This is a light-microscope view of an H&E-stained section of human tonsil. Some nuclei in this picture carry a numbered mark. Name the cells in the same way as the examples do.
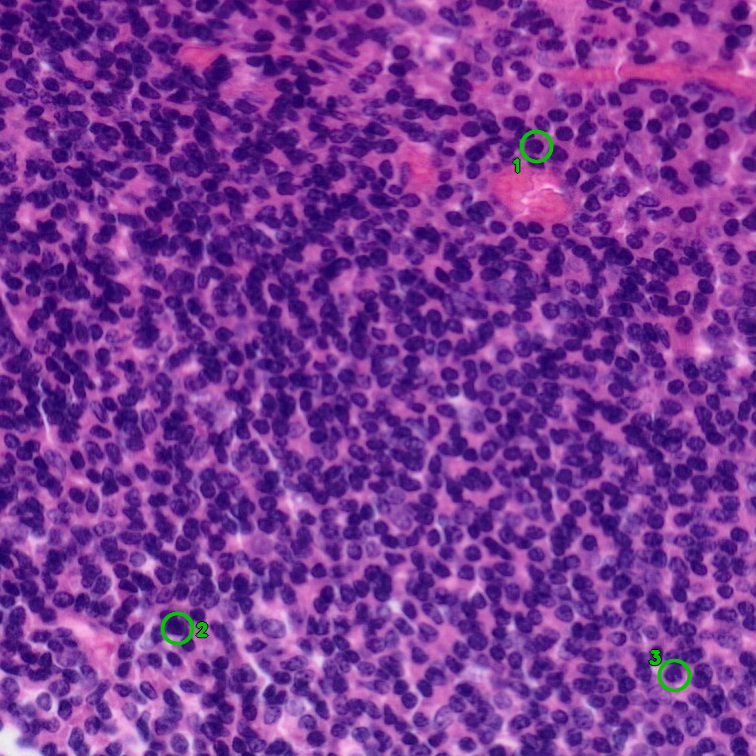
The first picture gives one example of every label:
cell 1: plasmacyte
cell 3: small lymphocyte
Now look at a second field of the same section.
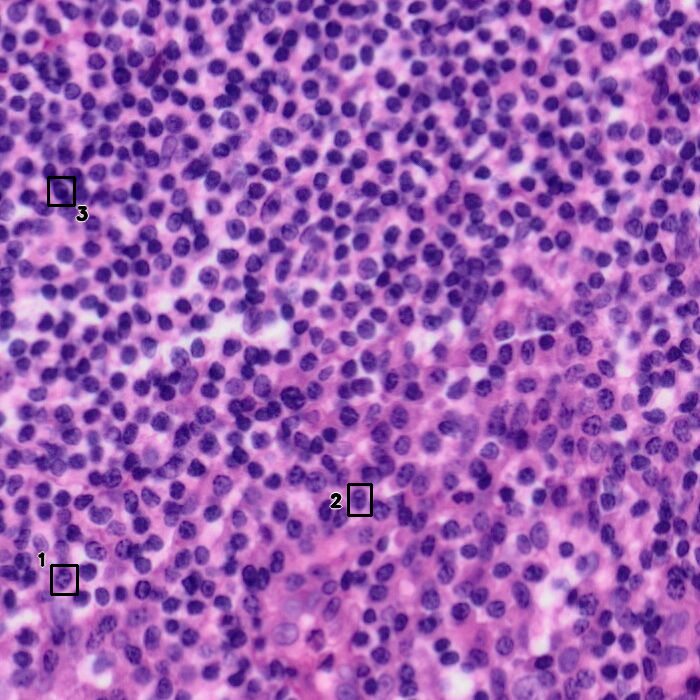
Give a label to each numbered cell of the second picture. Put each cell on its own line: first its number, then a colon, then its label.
1: plasmacyte
2: plasmacyte
3: small lymphocyte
